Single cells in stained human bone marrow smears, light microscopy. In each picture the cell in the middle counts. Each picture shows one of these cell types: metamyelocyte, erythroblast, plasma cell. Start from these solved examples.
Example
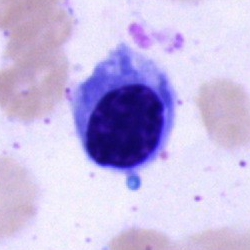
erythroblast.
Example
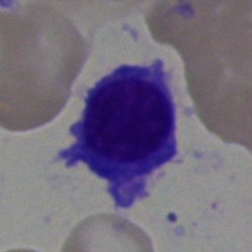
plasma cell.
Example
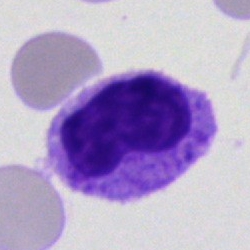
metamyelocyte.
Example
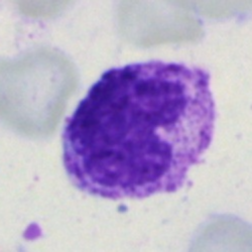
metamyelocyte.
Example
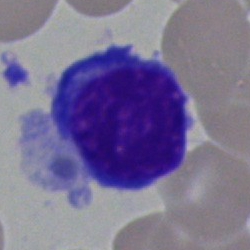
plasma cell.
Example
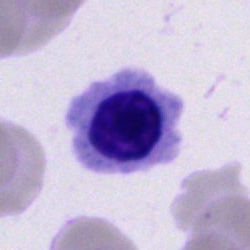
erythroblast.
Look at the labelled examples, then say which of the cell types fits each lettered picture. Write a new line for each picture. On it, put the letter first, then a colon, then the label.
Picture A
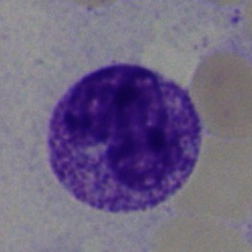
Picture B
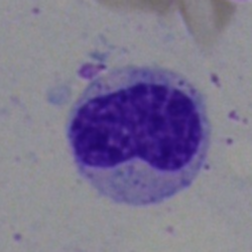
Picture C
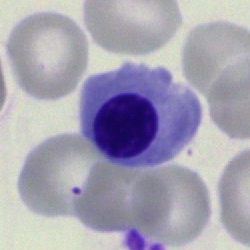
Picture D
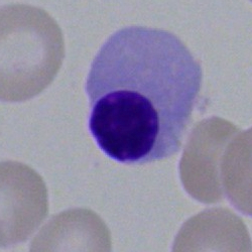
A: metamyelocyte.
B: metamyelocyte.
C: erythroblast.
D: erythroblast.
